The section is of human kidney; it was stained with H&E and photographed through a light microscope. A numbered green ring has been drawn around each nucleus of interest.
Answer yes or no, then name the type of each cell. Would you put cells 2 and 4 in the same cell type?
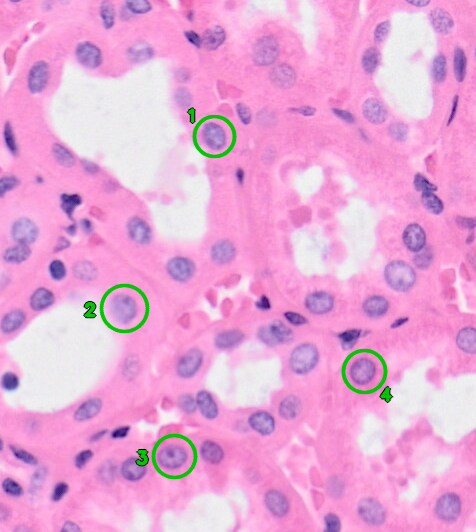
No, cell 2 is a loop of Henle or distal tubule cell, and cell 4, in contrast, is a proximal tubule cell.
